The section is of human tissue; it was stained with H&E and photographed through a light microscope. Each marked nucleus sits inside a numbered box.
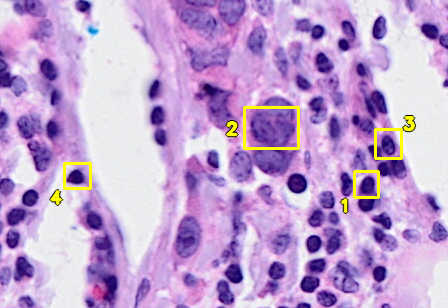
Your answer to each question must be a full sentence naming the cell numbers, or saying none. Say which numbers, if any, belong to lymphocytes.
The cells numbered 1, 3 and 4 fall into the category of lymphocytes.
